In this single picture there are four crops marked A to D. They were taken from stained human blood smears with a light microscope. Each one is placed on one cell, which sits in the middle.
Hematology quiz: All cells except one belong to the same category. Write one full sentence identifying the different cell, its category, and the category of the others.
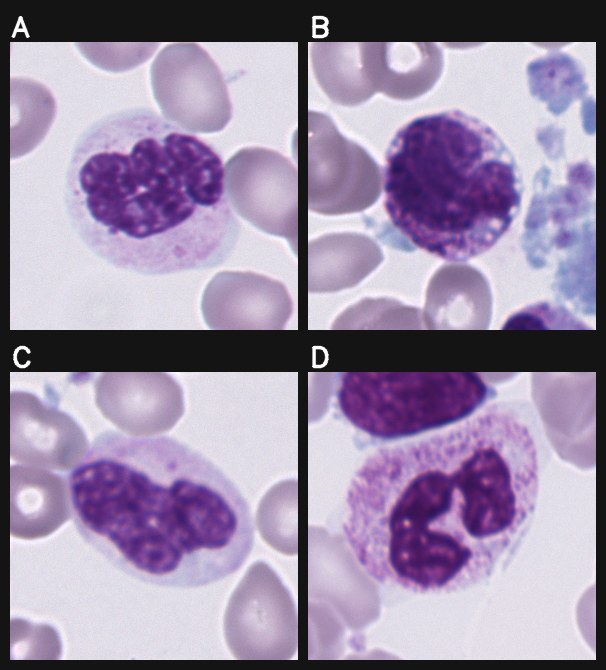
Crop B differs from the others in showing a basophil; the rest all show segmented neutrophils.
